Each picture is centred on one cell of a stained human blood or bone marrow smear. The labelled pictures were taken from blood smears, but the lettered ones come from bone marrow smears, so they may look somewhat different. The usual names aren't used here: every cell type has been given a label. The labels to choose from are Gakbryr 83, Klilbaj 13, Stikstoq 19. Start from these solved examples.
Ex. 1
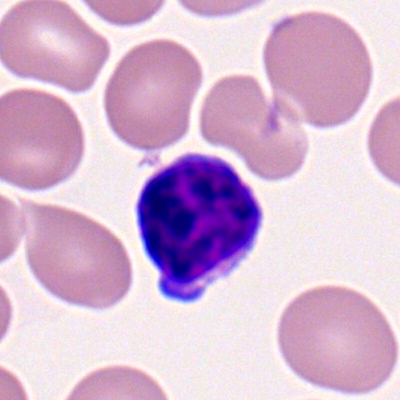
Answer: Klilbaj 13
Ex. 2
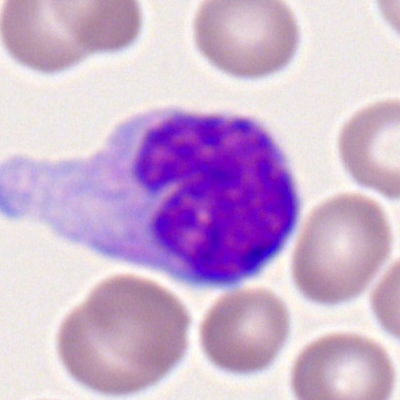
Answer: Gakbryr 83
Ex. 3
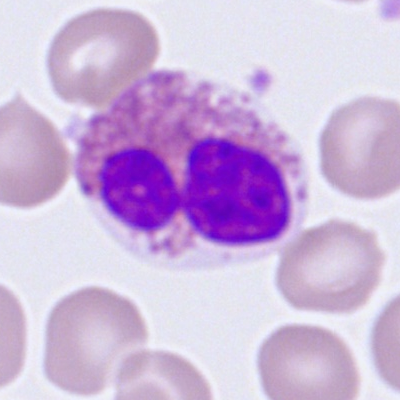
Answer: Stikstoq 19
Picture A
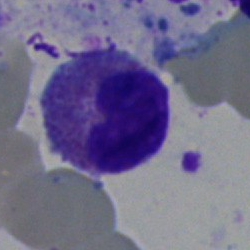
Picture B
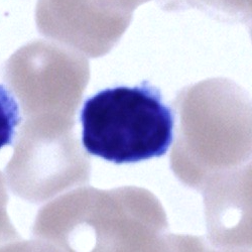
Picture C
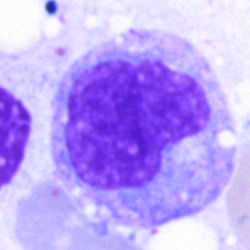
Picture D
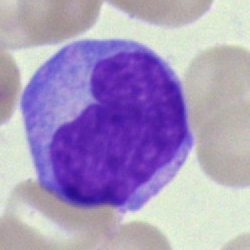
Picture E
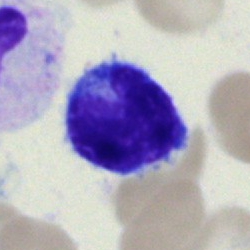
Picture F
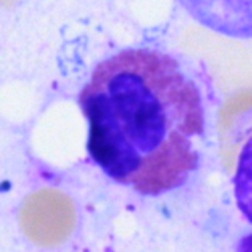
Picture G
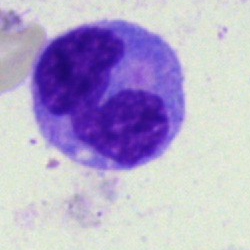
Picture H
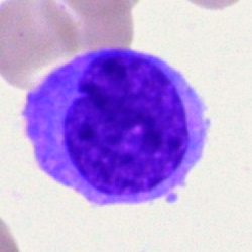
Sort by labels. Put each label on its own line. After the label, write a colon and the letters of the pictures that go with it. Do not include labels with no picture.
Gakbryr 83: C, D, G, H
Klilbaj 13: B, E
Stikstoq 19: A, F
